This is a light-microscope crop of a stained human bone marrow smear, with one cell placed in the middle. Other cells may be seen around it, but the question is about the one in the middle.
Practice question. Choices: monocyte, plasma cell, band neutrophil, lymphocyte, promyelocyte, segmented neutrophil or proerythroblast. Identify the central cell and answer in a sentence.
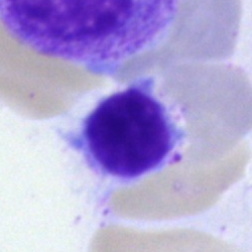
What the crop centres on is a lymphocyte.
